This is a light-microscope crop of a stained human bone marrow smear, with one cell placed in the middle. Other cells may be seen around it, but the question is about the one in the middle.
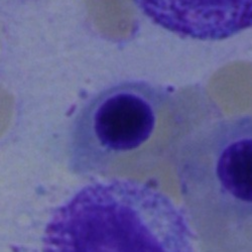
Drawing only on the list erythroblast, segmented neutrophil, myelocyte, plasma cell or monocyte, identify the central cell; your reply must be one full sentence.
The cell positioned in the middle of the field is an erythroblast.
